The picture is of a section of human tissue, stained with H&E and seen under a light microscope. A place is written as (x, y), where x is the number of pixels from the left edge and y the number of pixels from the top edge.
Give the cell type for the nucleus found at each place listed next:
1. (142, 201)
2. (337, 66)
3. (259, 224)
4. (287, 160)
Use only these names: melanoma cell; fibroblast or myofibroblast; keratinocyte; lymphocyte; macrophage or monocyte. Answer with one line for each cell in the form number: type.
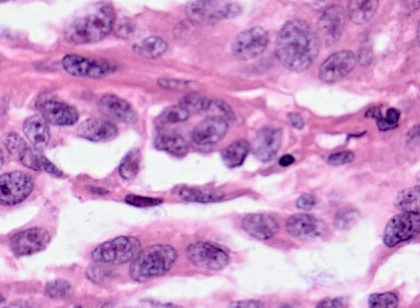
1: melanoma cell
2: melanoma cell
3: melanoma cell
4: lymphocyte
